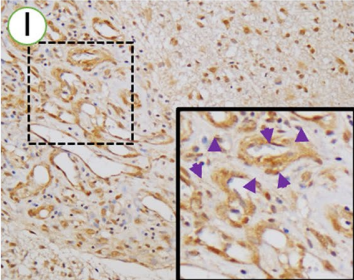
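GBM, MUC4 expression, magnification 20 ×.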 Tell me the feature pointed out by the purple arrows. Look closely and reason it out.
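The arrows in the inset point to brown linings of many small vessel channels. The channels are crowded in a cluster.
Hence: endothelial walls.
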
